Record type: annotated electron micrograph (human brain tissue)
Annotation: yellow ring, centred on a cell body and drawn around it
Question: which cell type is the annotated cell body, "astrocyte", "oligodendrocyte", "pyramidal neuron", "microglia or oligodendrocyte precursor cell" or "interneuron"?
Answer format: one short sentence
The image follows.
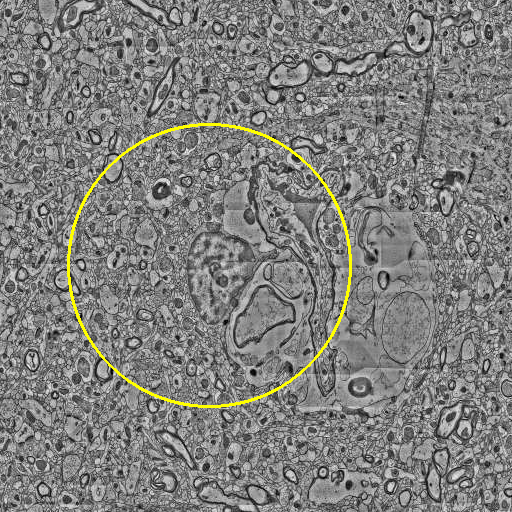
The annotated cell body is that of an oligodendrocyte.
